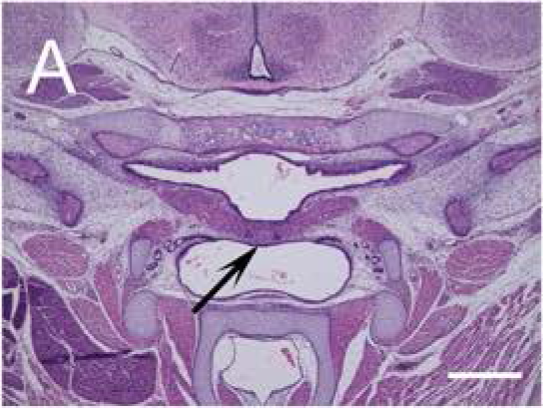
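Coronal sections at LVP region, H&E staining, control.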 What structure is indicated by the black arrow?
palatal shelf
